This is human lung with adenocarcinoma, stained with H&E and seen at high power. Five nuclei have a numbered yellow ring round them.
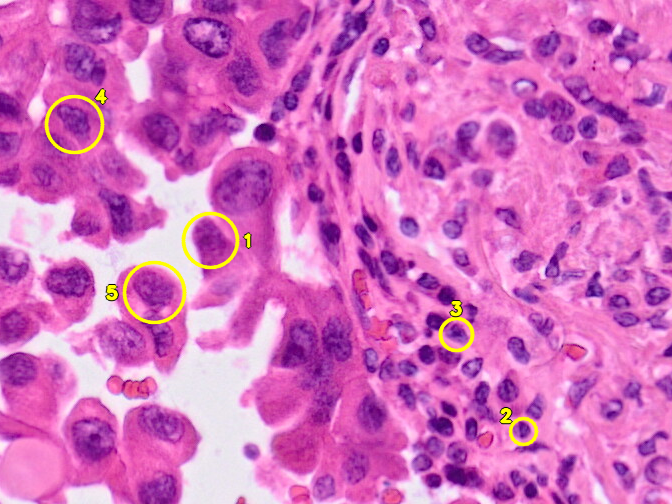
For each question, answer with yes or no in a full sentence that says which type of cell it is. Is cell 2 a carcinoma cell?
No, cell 2, which is a lymphocyte, is not a carcinoma cell.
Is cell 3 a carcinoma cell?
No, the cell given the number 3 is a lymphocyte, so not a carcinoma cell.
